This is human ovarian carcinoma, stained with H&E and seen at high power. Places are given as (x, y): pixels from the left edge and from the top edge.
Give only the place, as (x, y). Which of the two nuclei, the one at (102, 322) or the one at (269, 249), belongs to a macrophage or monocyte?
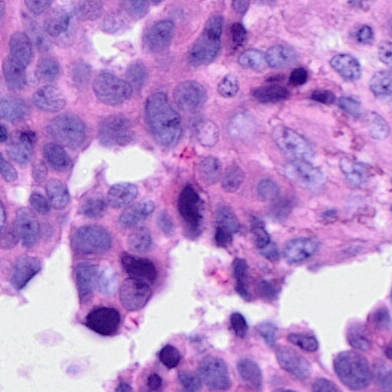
(269, 249)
